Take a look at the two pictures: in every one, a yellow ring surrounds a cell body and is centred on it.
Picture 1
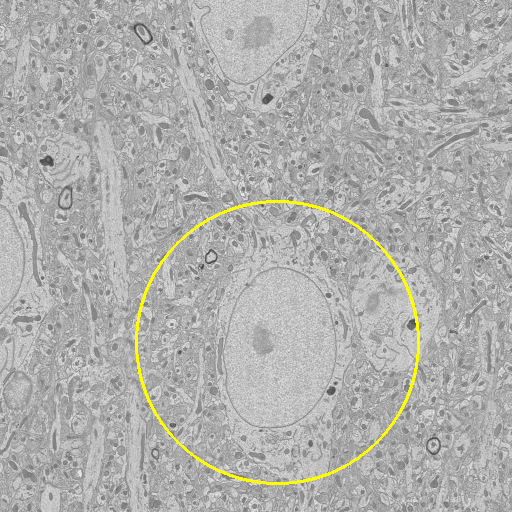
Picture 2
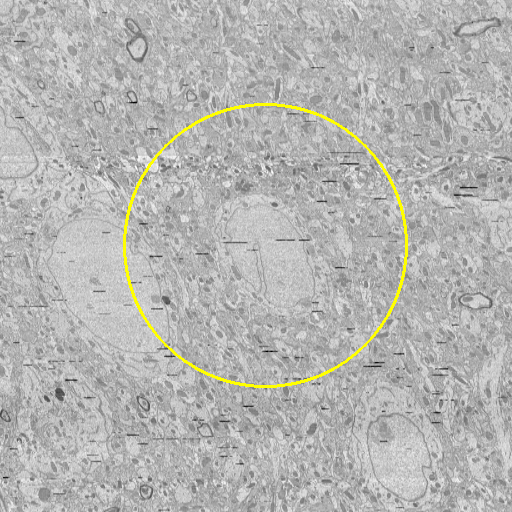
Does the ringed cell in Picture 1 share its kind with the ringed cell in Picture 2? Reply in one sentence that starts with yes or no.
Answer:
No, the two centred cells, one per picture, are of two kinds.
